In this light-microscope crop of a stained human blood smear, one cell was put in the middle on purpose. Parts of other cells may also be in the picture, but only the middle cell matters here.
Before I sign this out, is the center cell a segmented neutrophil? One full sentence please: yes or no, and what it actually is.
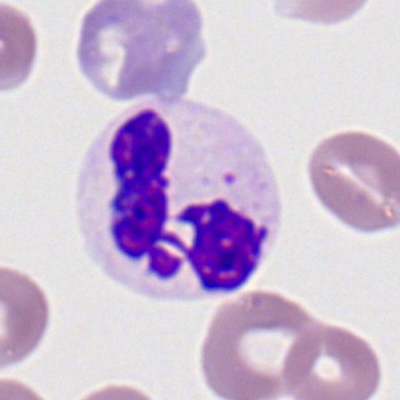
Yes, a segmented neutrophil is what the central cell is.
